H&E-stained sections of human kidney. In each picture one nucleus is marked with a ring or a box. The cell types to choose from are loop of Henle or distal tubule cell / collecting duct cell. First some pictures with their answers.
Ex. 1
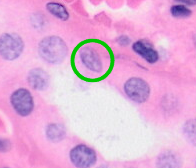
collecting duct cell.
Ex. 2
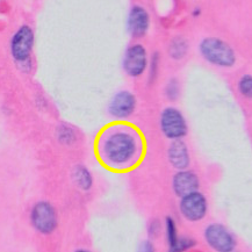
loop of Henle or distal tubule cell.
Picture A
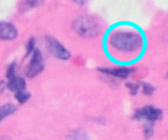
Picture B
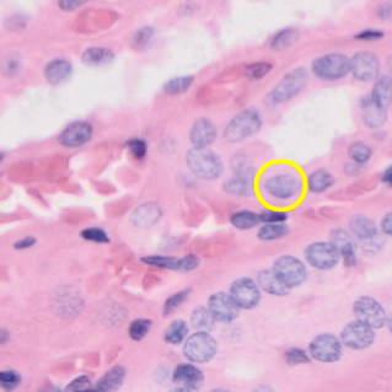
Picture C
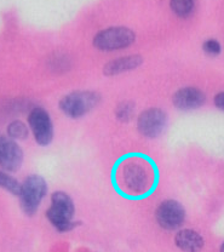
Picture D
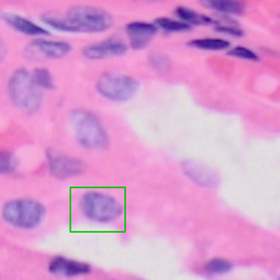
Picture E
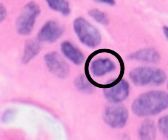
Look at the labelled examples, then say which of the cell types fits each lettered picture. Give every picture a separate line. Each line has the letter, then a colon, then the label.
A: loop of Henle or distal tubule cell.
B: collecting duct cell.
C: loop of Henle or distal tubule cell.
D: loop of Henle or distal tubule cell.
E: collecting duct cell.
